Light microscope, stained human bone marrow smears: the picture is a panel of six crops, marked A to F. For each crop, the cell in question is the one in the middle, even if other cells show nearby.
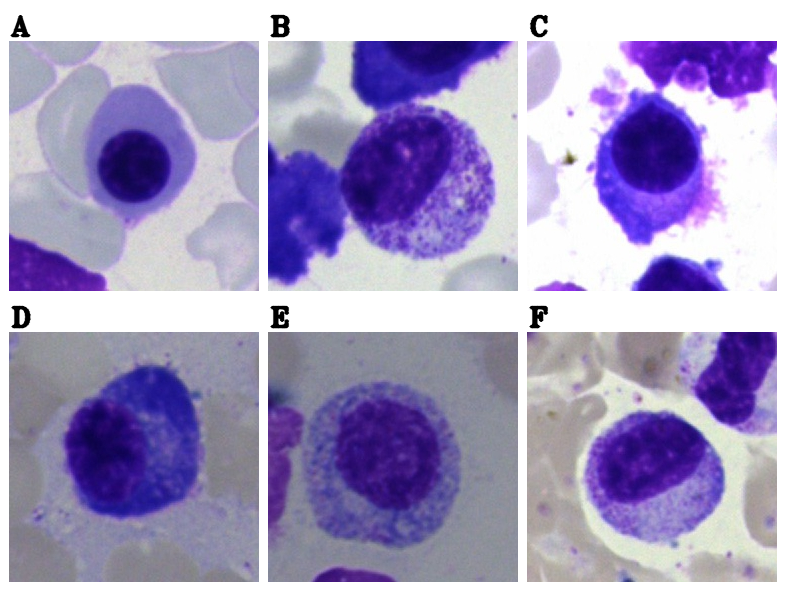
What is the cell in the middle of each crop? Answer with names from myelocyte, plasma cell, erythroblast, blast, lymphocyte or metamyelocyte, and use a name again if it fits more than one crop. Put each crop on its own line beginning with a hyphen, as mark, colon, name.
- A: erythroblast
- B: myelocyte
- C: plasma cell
- D: plasma cell
- E: myelocyte
- F: myelocyte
